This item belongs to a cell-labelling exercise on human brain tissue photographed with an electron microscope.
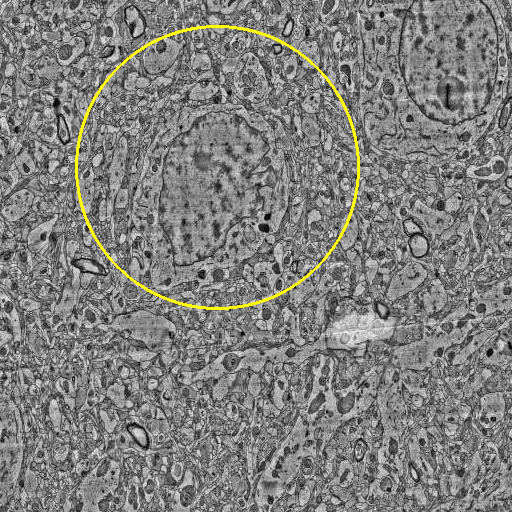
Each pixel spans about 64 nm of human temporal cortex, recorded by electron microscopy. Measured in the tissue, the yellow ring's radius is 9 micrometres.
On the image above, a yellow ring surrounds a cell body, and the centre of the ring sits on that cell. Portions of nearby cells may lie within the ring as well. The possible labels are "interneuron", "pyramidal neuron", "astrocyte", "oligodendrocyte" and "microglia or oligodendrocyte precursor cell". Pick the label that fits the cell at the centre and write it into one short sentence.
This cell should be labelled as an interneuron.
